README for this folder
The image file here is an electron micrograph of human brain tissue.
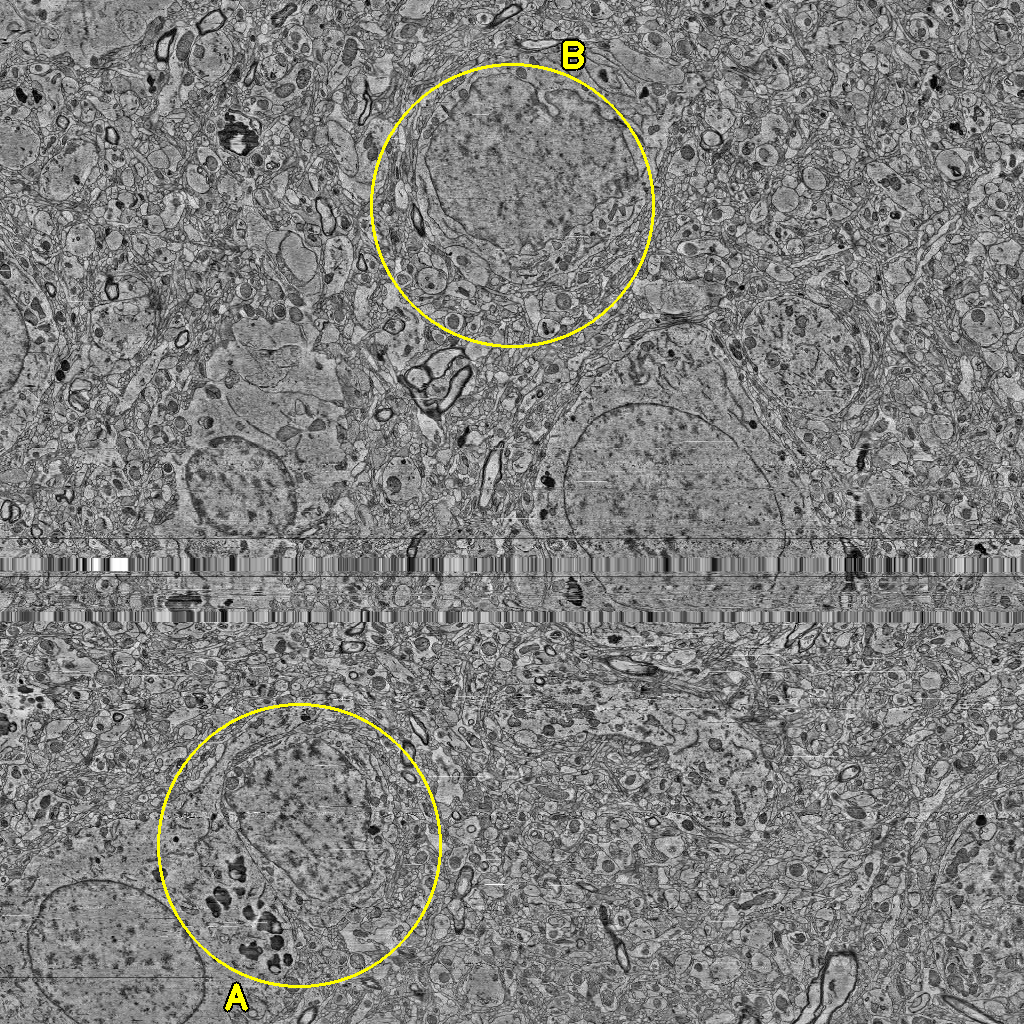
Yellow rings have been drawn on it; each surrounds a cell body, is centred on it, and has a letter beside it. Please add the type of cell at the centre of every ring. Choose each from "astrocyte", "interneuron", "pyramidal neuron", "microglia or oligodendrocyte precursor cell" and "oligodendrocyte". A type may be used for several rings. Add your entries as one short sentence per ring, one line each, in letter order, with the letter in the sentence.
Ring A marks the cell body of an interneuron.
Ring B marks the cell body of an interneuron.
